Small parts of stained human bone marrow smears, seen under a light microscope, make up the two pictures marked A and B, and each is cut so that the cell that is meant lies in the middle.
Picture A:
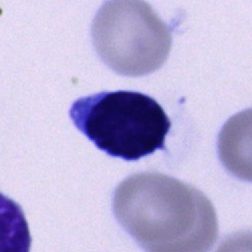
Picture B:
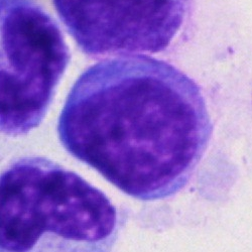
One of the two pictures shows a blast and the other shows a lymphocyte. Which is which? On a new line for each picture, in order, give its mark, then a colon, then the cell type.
A: lymphocyte
B: blast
